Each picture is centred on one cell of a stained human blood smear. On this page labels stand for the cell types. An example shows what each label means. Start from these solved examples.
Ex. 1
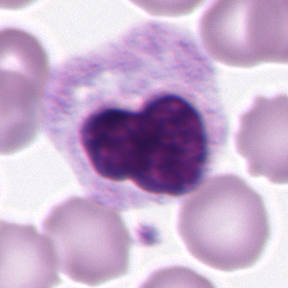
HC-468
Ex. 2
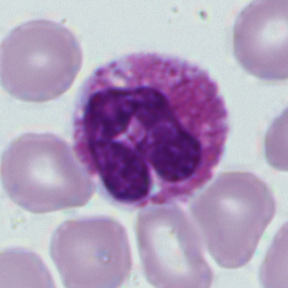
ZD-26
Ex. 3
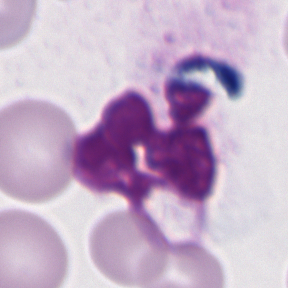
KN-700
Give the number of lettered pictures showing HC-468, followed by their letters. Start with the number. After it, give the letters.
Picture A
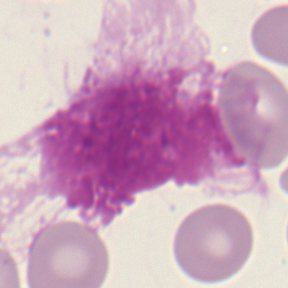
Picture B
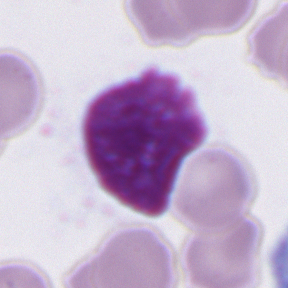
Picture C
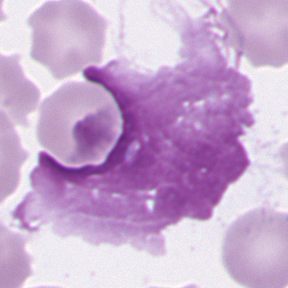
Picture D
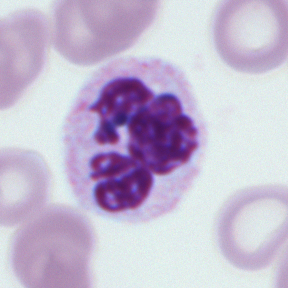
1: D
